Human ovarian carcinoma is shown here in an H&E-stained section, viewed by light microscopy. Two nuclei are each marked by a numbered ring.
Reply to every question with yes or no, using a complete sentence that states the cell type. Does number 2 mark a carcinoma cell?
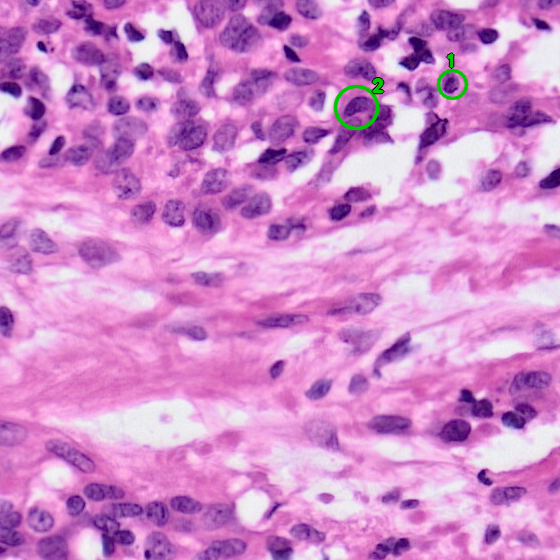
Yes, regarding cell number 2, it is a carcinoma cell.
